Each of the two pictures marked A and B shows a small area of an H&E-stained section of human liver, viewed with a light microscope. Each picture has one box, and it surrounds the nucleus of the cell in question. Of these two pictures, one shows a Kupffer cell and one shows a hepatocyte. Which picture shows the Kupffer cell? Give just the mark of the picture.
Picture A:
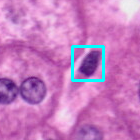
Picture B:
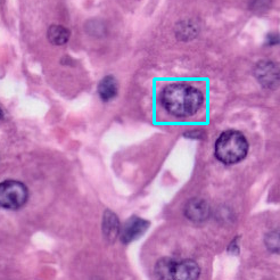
A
